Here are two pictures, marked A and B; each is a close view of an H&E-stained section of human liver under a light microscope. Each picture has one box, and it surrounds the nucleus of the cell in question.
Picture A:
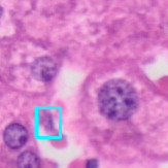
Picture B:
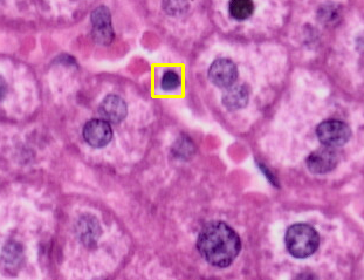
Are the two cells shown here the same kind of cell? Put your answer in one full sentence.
No, the types are not the same, since picture A shows a Kupffer cell and picture B a lymphocyte.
